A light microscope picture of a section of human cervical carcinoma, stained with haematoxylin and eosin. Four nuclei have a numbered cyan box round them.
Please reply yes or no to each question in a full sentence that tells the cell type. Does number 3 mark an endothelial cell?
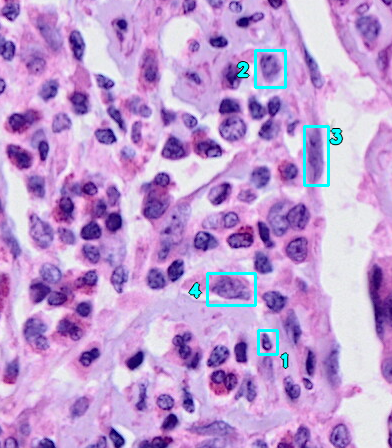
Yes, among the marked cells, the one with number 3 is an endothelial cell.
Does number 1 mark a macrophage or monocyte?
No, number 1 belongs to a lymphocyte, not to a macrophage or monocyte.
